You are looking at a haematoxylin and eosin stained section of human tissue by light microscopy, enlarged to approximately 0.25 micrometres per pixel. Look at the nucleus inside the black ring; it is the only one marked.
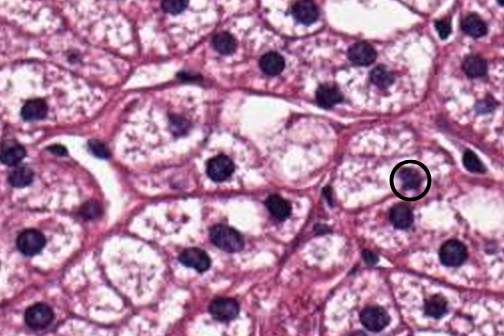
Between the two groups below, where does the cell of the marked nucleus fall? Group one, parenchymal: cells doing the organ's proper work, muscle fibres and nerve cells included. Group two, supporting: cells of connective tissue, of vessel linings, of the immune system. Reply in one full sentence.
In this section the marked nucleus belongs to a parenchymal cell, namely an adrenal cortical cell.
